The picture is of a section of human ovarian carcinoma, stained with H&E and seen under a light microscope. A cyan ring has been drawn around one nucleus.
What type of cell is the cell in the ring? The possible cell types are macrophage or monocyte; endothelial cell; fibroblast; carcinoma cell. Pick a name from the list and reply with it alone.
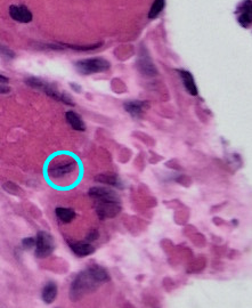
endothelial cell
